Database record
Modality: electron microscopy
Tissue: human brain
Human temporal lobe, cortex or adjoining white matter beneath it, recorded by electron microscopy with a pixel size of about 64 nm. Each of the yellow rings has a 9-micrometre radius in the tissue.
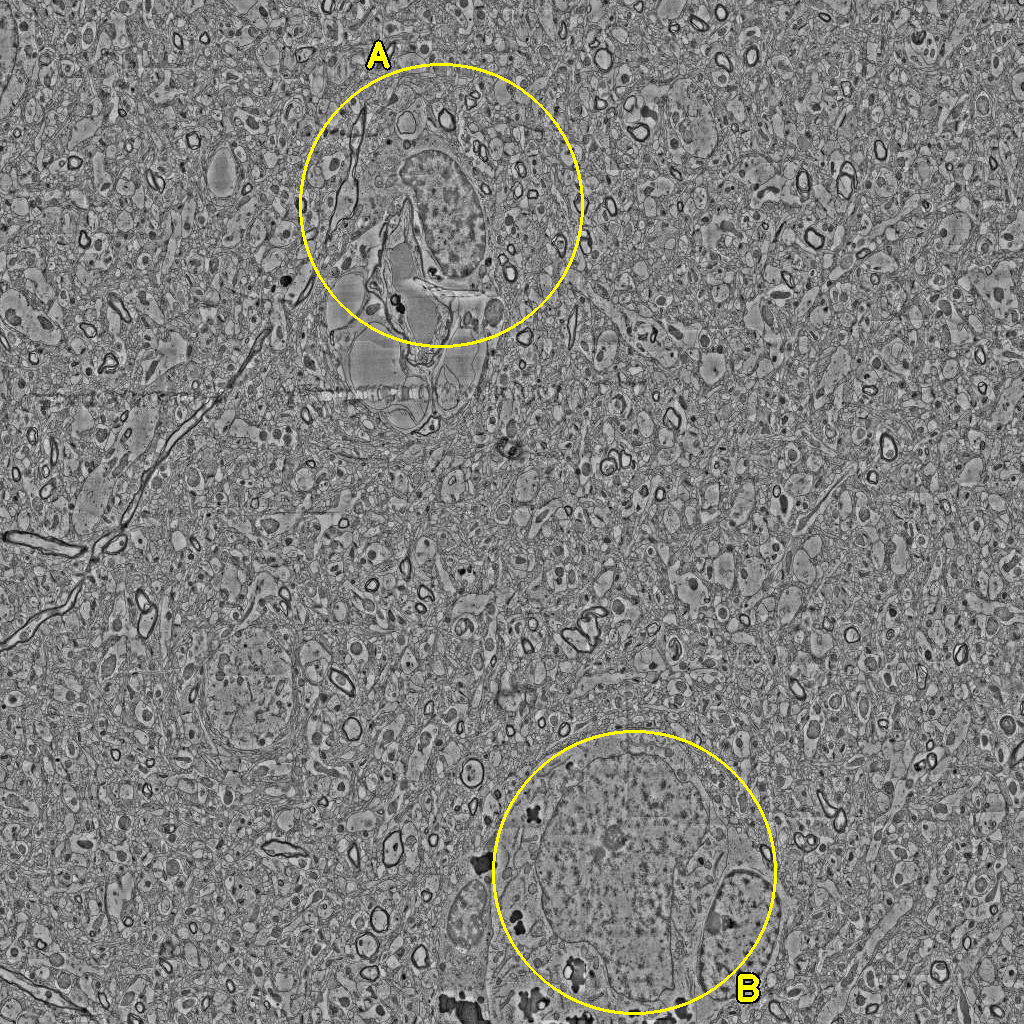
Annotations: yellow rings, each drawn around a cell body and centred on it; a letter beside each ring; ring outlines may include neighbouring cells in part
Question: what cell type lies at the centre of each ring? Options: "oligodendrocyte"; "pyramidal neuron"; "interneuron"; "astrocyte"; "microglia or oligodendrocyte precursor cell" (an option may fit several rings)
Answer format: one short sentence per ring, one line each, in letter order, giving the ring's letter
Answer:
Ring A corresponds to an oligodendrocyte.
Ring B corresponds to an interneuron.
